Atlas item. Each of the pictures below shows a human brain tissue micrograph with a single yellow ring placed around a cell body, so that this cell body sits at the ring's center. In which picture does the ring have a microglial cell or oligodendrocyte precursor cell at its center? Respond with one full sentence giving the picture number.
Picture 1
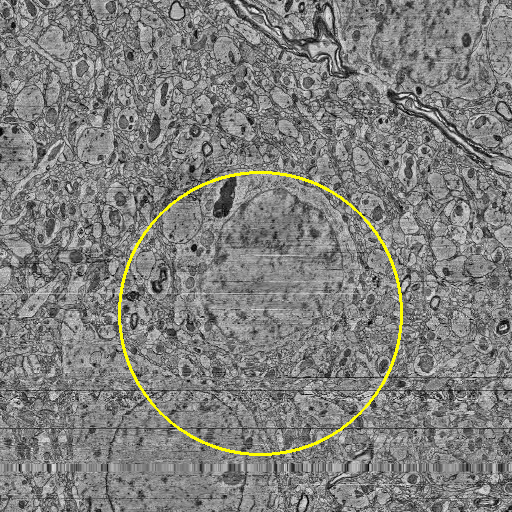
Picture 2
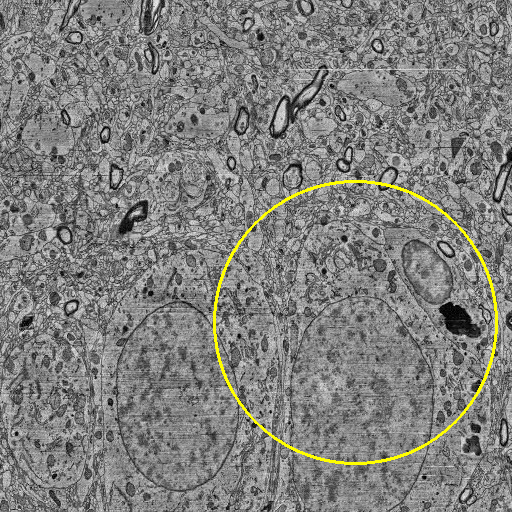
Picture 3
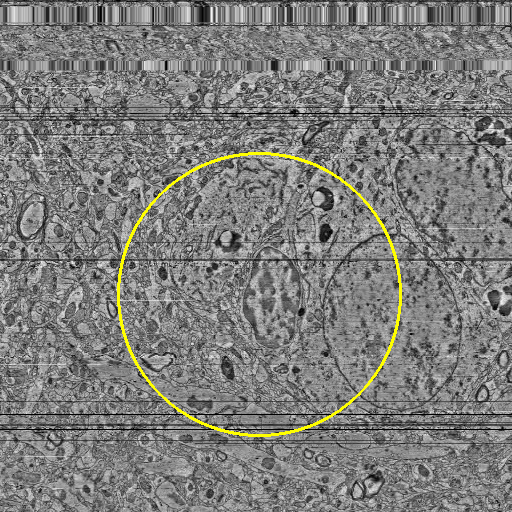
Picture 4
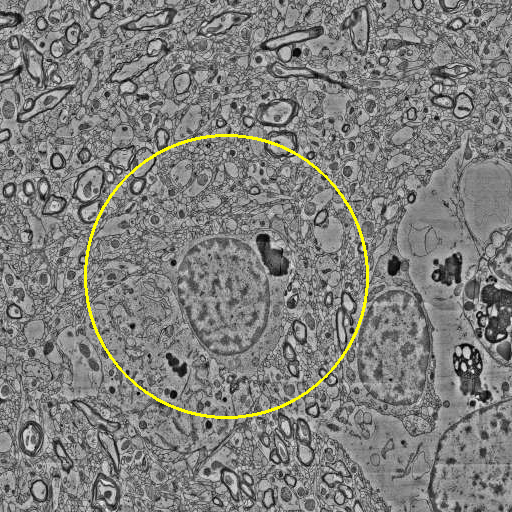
The cell at the ring's center that fits lies in picture 3.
